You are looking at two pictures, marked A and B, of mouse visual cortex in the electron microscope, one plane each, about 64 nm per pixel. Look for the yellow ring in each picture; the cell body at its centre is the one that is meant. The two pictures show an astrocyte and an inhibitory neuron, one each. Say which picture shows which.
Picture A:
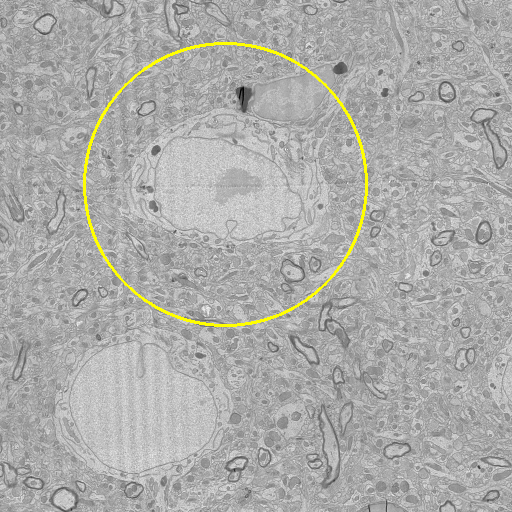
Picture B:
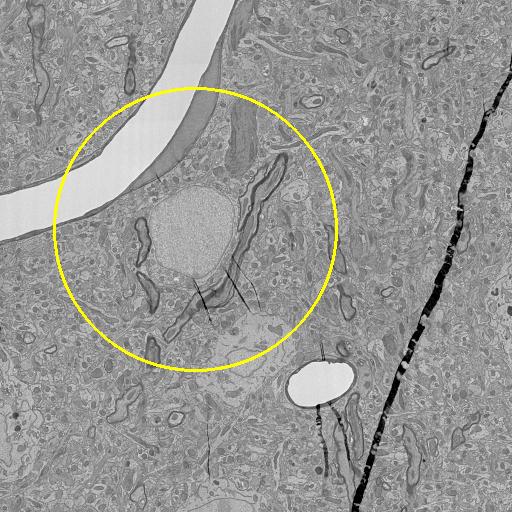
It is picture A that shows an inhibitory neuron, and picture B that shows an astrocyte.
